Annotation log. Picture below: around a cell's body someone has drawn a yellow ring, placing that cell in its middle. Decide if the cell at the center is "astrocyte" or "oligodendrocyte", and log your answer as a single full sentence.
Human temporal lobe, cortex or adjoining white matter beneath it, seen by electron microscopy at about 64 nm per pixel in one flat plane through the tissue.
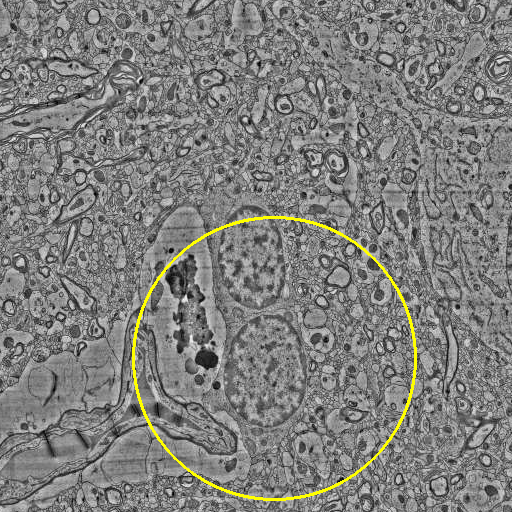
My entry records an oligodendrocyte as the cell sitting at the center of the yellow ring.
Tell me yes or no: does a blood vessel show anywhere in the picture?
Yes, one appears.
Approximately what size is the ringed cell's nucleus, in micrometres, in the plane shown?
In this plane the nucleus measures roughly 7 by 5 micrometers.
